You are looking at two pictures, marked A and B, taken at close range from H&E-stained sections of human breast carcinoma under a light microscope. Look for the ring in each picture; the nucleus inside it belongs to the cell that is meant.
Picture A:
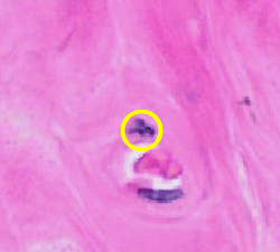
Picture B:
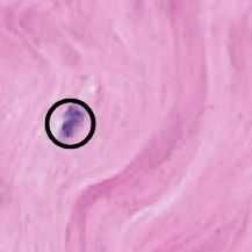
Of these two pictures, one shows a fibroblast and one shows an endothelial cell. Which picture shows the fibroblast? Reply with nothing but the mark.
B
